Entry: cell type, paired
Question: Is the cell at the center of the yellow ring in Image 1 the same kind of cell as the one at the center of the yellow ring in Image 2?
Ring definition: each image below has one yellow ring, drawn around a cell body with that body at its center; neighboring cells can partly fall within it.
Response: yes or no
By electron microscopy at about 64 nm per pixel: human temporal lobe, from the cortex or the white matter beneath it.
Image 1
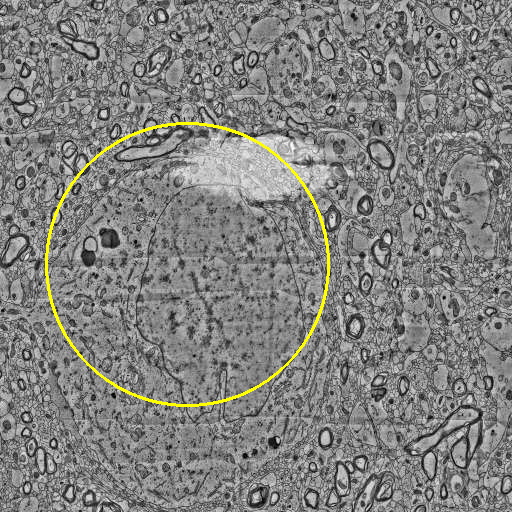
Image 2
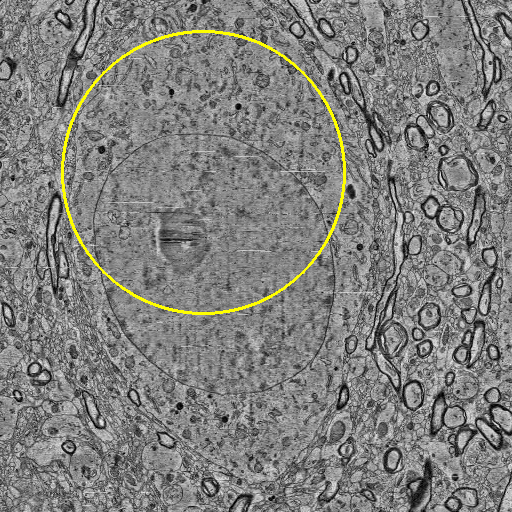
yes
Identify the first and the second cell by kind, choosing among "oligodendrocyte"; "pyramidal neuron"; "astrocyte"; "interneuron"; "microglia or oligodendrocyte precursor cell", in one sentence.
The cell at the ring centre is a pyramidal neuron in both pictures.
